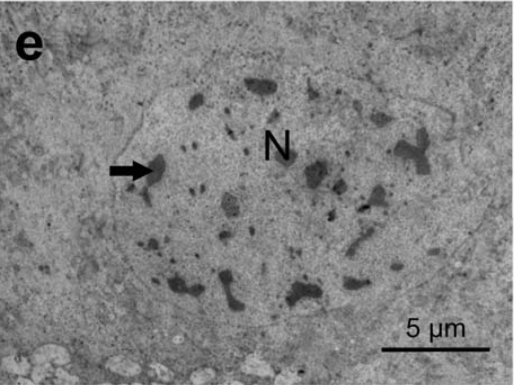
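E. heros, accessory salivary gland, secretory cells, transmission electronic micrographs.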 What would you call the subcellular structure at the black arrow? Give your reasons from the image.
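Condensed chromatin. The arrow points at a dark, dense irregular clump inside a large round nucleus. Similar dark clumps are scattered through the paler nucleoplasm.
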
